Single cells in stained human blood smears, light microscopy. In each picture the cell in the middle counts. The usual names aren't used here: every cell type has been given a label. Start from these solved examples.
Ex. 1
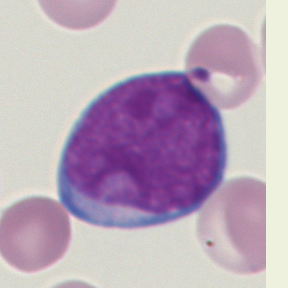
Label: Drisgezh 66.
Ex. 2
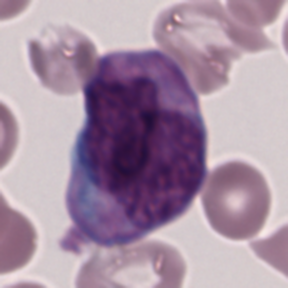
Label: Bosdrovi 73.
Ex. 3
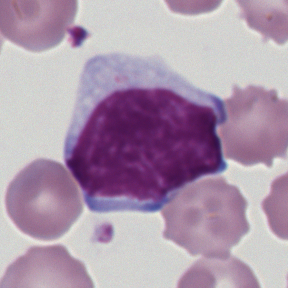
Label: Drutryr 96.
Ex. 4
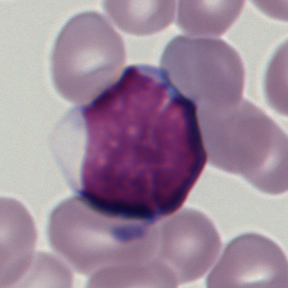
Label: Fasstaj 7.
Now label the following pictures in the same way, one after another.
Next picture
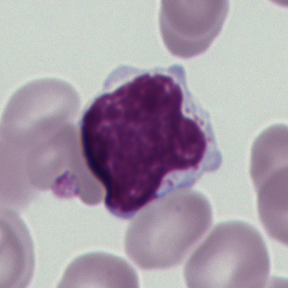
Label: Fasstaj 7.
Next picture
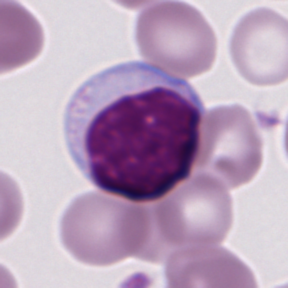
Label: Fasstaj 7.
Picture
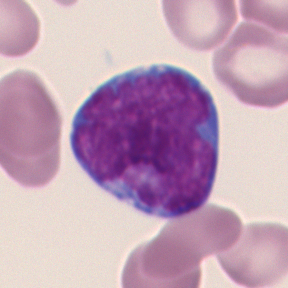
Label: Drisgezh 66.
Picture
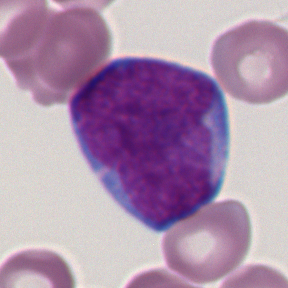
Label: Drisgezh 66.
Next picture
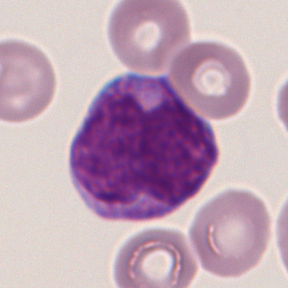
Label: Bosdrovi 73.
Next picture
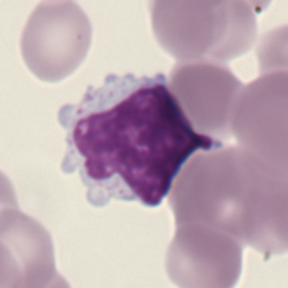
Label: Fasstaj 7.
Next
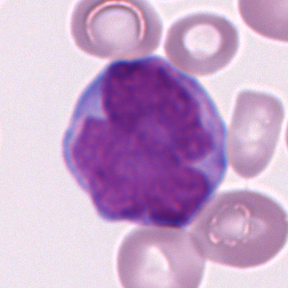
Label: Bosdrovi 73.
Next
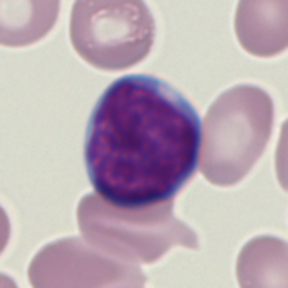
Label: Drutryr 96.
